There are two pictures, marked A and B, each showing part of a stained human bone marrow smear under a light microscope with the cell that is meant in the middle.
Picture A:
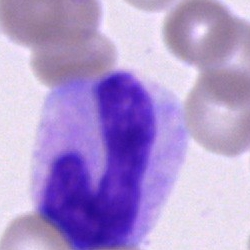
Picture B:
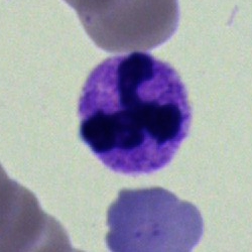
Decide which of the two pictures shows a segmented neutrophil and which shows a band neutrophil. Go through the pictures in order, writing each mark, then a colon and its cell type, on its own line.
A: band neutrophil
B: segmented neutrophil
